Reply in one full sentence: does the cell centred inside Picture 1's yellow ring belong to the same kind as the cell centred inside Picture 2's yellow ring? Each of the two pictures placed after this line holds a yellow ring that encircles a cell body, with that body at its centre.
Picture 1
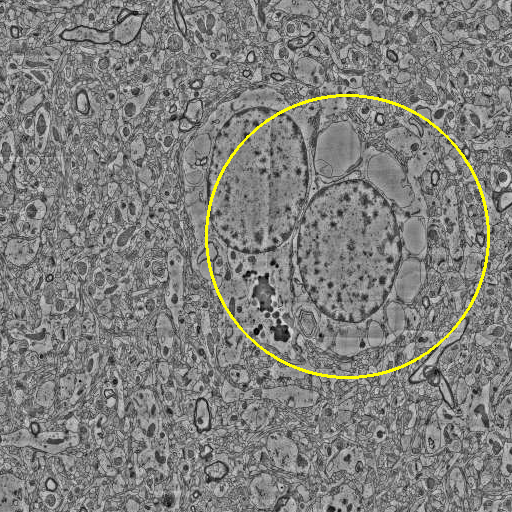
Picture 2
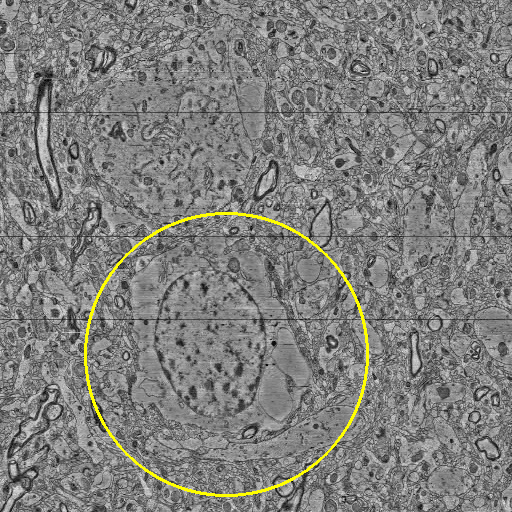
Yes, the ring-centred cells in Picture 1 and Picture 2 are of one and the same kind.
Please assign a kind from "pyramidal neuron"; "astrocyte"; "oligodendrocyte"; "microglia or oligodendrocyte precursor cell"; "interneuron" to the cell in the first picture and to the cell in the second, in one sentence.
The cell in the first picture is an astrocyte, and so is the one in the second.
